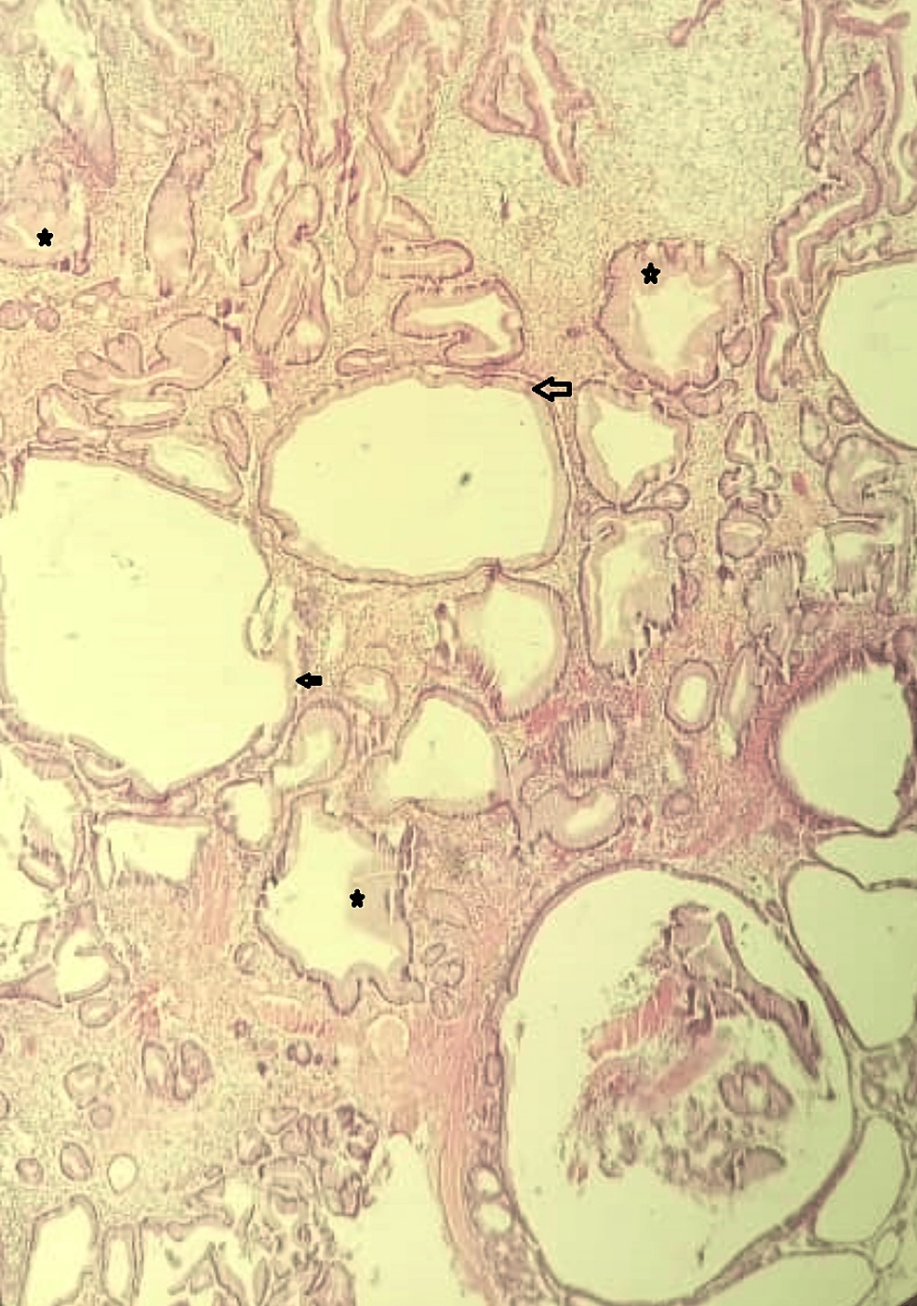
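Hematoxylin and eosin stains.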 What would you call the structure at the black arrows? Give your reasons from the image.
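Cystically dilated glands. Large round spaces, many times wider than neighbouring glands, have pale empty lumens. These spaces are lined by a thin, single flattened epithelial layer.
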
